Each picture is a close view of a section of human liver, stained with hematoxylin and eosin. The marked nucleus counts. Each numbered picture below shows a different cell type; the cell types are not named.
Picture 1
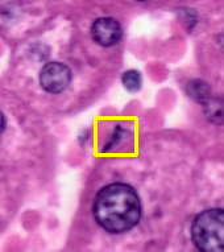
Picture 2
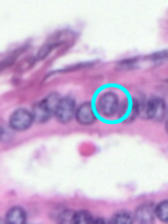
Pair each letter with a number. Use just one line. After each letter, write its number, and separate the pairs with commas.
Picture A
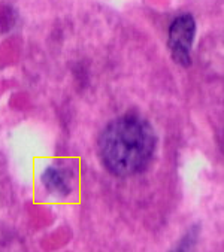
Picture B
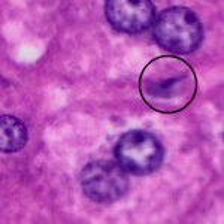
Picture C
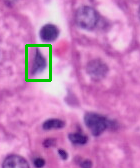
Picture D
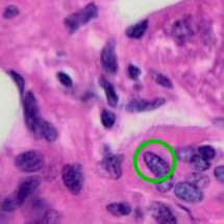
A 1, B 1, C 1, D 2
